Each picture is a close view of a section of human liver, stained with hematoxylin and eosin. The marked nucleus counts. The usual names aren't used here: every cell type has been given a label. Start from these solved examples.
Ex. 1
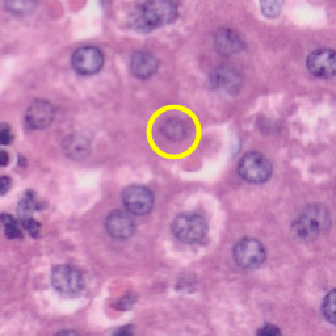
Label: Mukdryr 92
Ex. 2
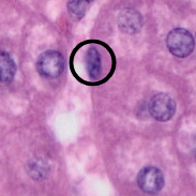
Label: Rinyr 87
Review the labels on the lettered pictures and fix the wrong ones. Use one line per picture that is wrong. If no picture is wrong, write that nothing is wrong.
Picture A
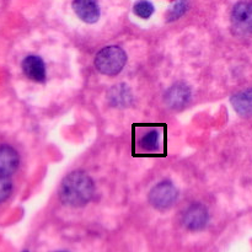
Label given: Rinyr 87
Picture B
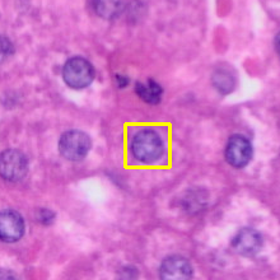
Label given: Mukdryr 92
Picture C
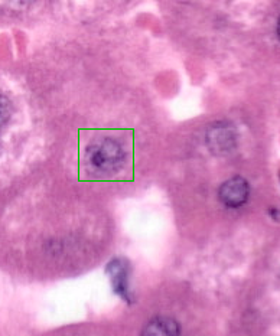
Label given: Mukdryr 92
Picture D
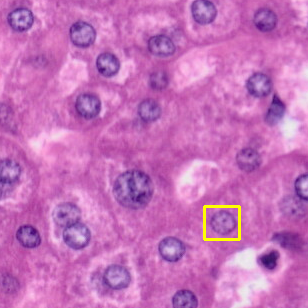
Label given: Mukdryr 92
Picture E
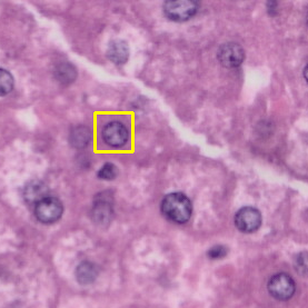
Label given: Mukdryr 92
Every label is right.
